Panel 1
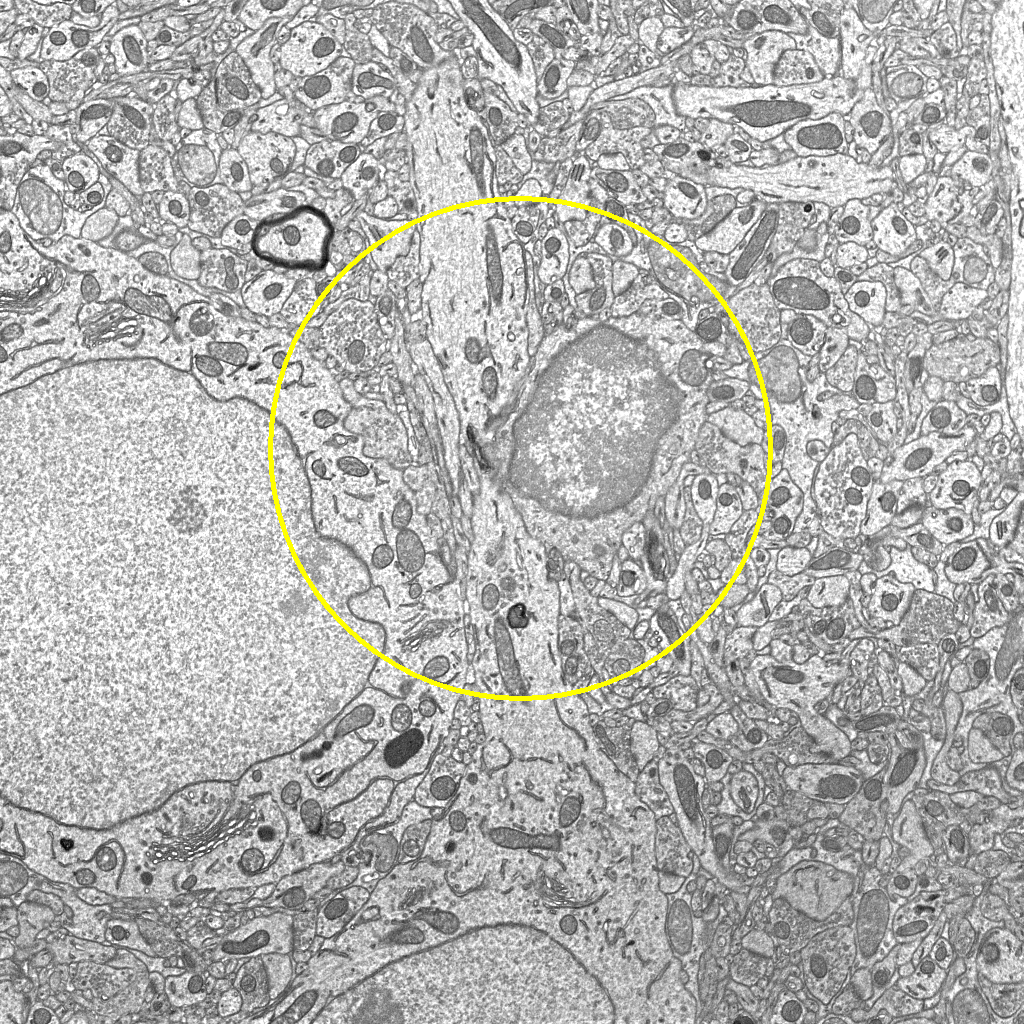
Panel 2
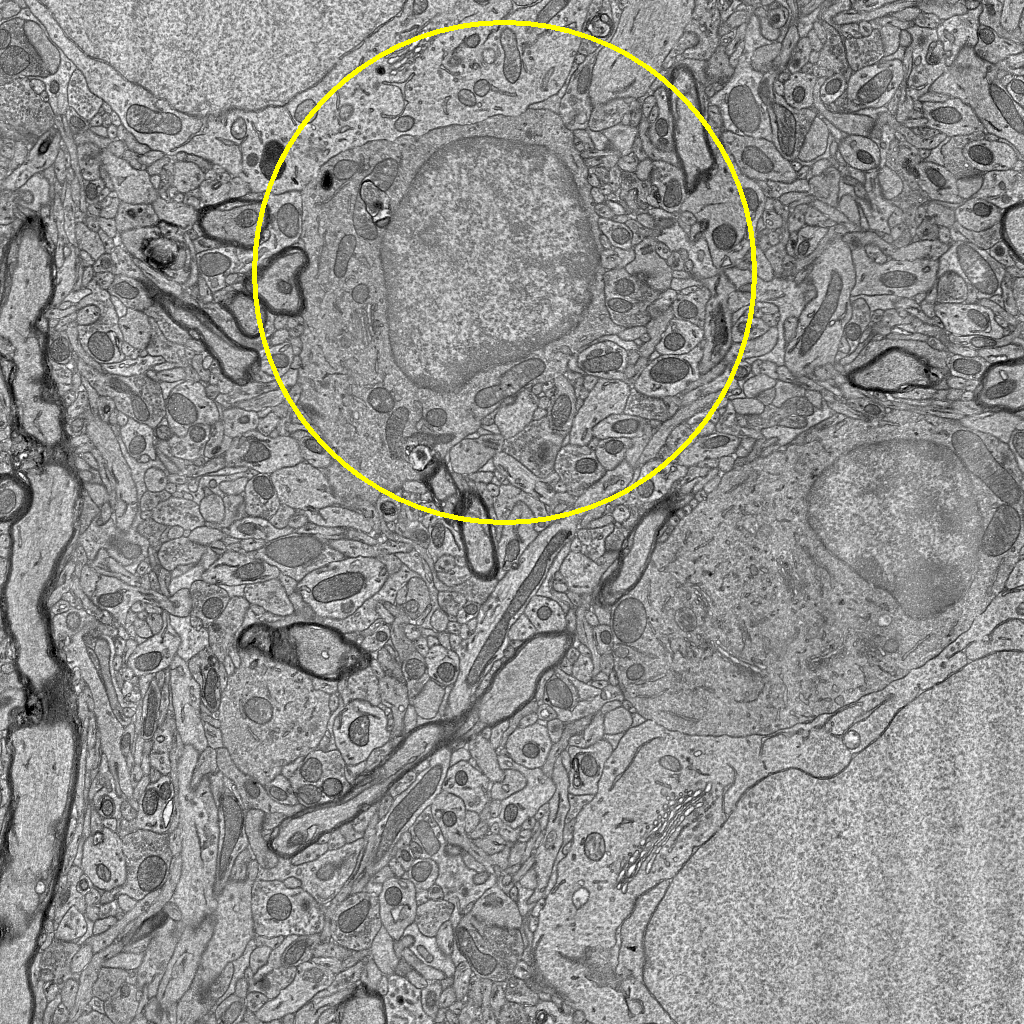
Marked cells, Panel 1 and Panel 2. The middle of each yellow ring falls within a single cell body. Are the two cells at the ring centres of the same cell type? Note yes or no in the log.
yes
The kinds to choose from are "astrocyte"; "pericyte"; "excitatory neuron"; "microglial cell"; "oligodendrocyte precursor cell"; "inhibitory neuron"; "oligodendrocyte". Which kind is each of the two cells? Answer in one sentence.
The first and the second cell are each an oligodendrocyte.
